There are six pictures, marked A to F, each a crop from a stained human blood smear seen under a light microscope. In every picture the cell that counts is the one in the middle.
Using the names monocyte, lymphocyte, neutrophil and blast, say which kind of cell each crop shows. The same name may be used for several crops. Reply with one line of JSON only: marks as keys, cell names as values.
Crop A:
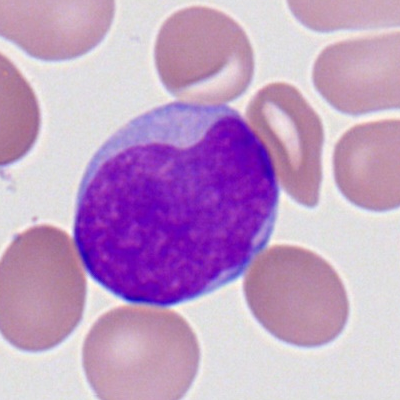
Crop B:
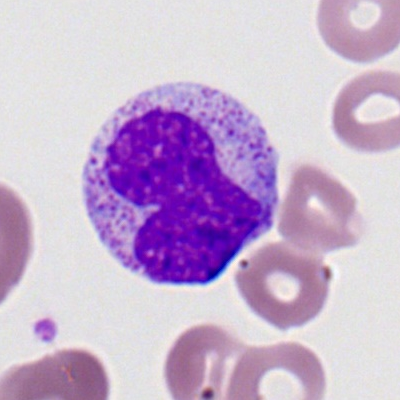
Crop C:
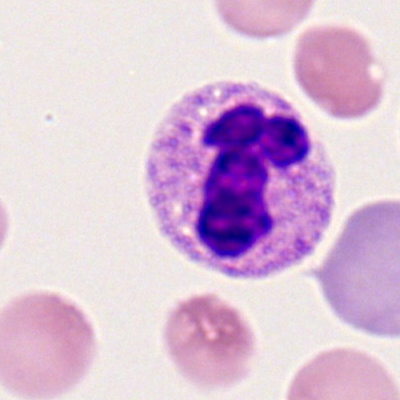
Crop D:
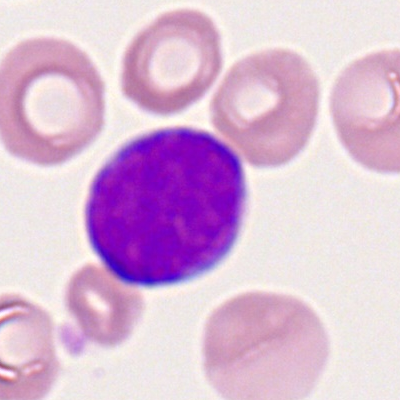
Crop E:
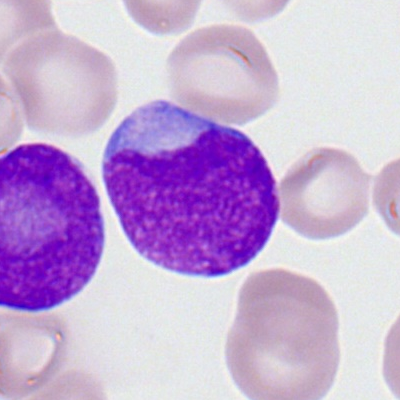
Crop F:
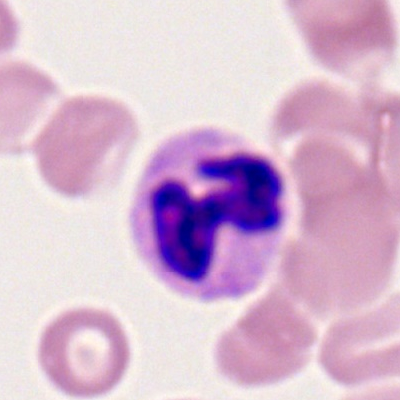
{"A": "blast", "B": "monocyte", "C": "neutrophil", "D": "blast", "E": "blast", "F": "neutrophil"}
